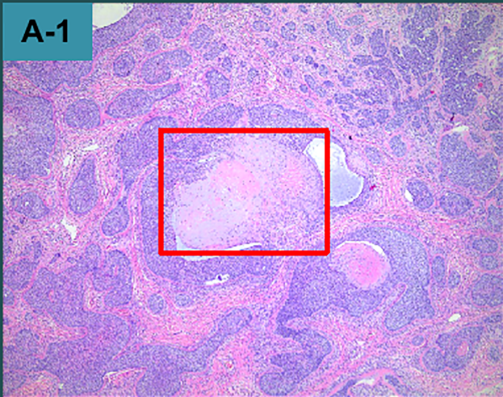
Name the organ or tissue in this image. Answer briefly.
epithelial tumor islands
